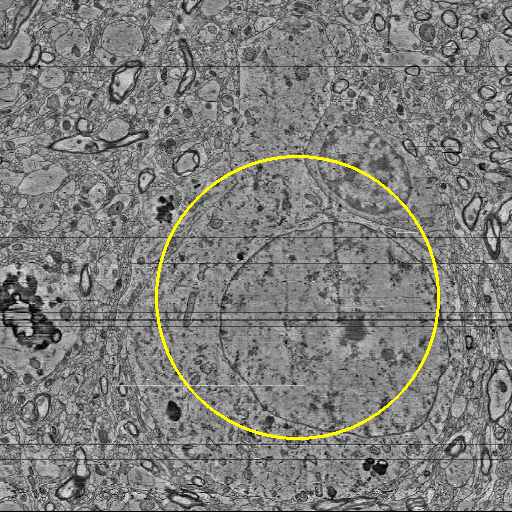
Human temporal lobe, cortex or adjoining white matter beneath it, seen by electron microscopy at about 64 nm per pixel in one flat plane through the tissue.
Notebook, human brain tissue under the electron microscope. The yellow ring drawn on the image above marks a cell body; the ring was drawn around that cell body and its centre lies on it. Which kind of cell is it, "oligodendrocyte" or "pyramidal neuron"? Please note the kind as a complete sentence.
The marked cell body is that of a pyramidal neuron.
